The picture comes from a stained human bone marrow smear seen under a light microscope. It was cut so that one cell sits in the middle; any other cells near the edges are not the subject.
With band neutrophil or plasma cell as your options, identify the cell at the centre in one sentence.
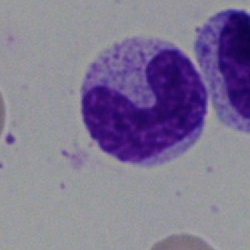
The cell in the middle of this crop is a band neutrophil.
